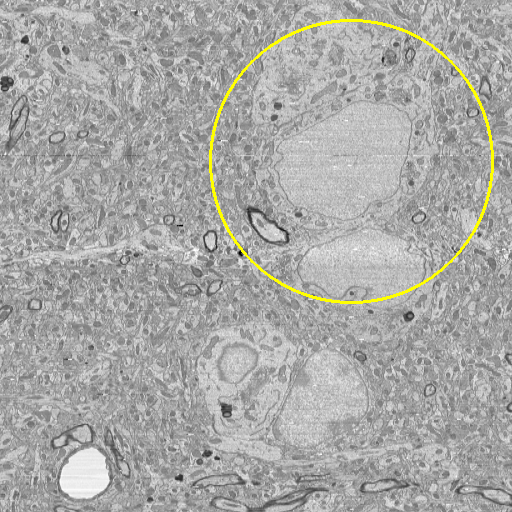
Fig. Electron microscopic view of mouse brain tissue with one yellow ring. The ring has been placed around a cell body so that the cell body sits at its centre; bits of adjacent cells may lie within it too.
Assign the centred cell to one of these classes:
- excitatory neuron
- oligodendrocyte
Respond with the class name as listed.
excitatory neuron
